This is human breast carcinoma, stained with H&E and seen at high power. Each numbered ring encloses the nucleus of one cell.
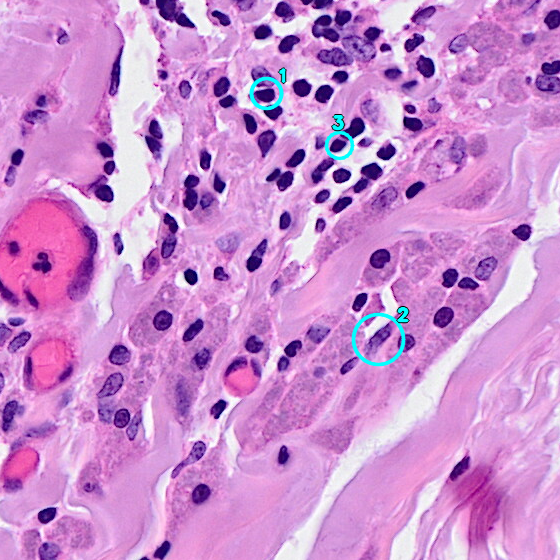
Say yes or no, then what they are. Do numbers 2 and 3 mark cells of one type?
No, cell 2 is a fibroblast and cell 3 is a lymphocyte.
